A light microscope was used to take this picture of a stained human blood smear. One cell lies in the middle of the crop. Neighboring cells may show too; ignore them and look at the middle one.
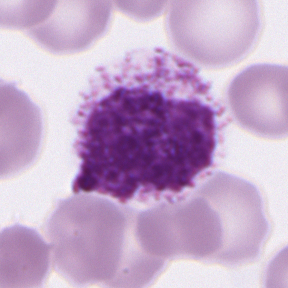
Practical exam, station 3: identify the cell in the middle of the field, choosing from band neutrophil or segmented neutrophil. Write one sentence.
To answer, the cell in the center of the crop is a band neutrophil.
